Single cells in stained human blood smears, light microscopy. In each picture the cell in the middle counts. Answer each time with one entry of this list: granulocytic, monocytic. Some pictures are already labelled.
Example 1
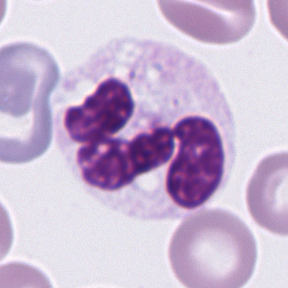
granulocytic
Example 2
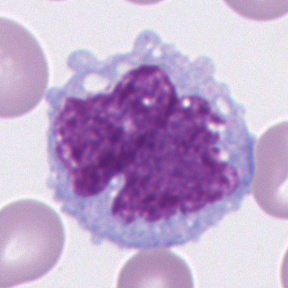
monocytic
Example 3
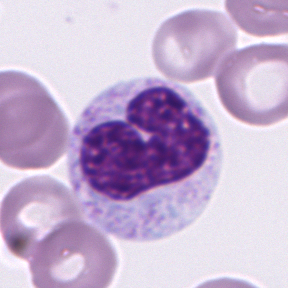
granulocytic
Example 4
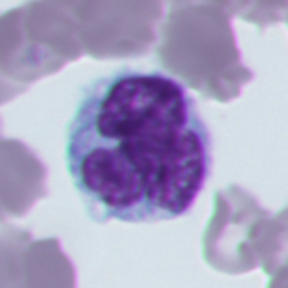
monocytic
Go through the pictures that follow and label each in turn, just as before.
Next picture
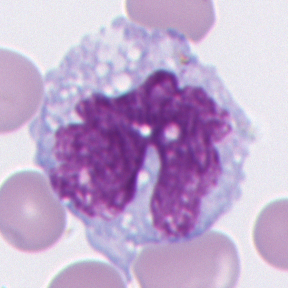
monocytic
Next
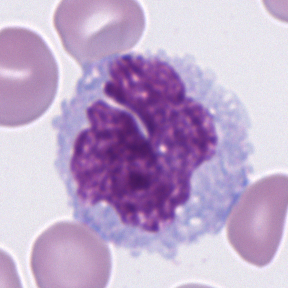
monocytic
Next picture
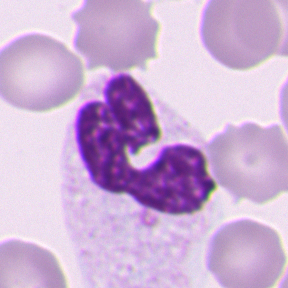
granulocytic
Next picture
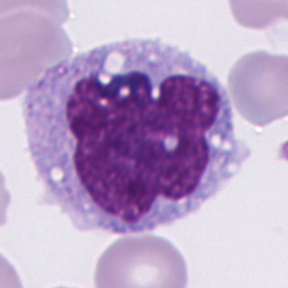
monocytic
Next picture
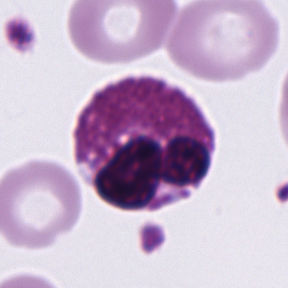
granulocytic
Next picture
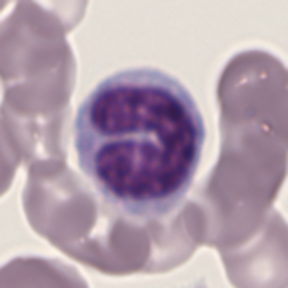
monocytic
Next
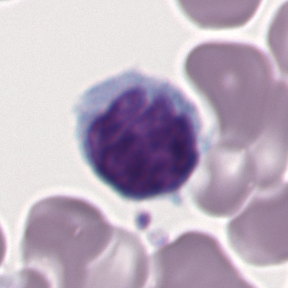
monocytic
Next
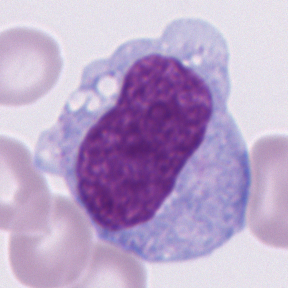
monocytic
